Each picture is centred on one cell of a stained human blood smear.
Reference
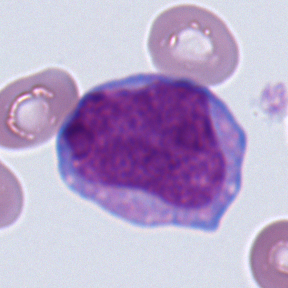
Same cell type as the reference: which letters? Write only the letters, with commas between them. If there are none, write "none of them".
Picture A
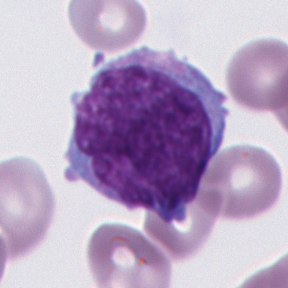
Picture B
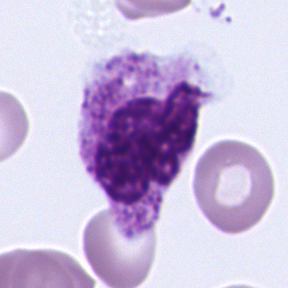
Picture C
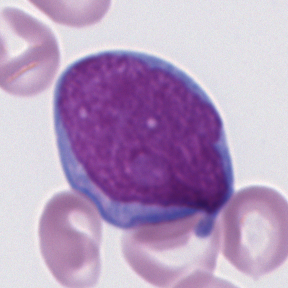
A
